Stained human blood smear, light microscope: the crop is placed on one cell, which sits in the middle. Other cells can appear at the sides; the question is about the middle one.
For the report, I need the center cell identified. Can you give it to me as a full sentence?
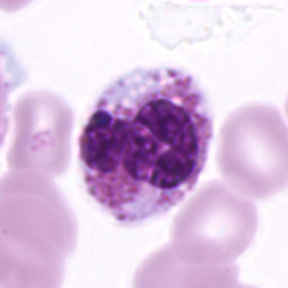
Looking at the middle of the crop, the cell there is an eosinophil.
